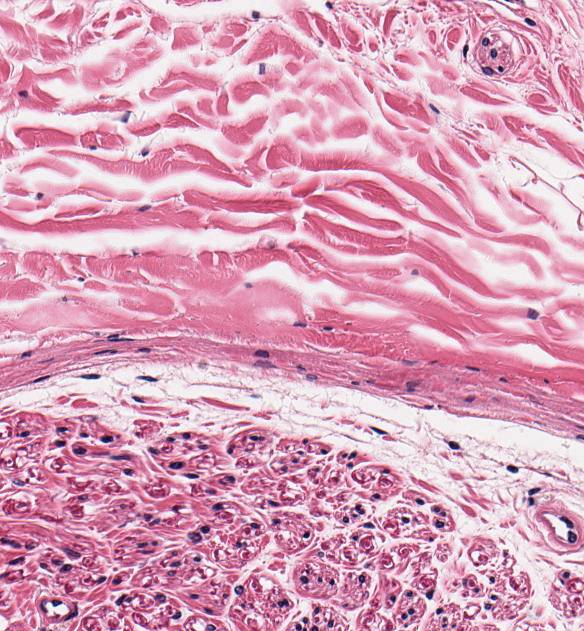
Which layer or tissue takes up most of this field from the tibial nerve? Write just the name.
epineurium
